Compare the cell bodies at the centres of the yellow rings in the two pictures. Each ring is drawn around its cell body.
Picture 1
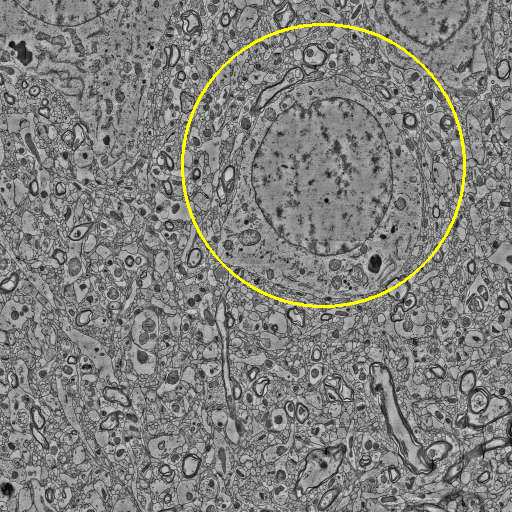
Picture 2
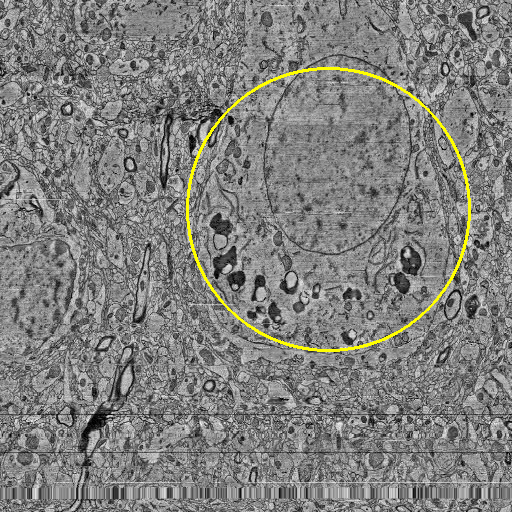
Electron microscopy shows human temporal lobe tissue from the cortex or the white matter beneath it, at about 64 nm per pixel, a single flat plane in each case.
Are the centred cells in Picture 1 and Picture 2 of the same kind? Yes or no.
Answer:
yes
